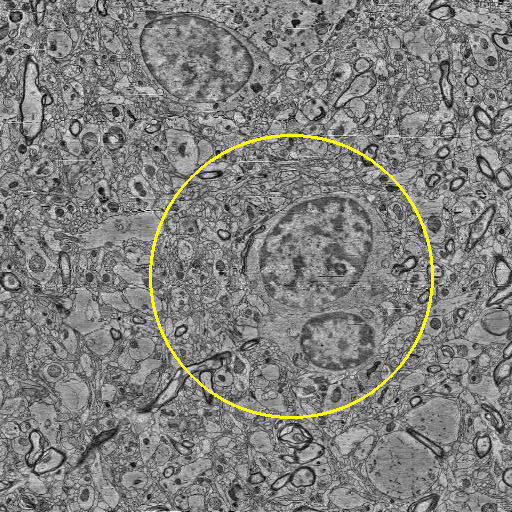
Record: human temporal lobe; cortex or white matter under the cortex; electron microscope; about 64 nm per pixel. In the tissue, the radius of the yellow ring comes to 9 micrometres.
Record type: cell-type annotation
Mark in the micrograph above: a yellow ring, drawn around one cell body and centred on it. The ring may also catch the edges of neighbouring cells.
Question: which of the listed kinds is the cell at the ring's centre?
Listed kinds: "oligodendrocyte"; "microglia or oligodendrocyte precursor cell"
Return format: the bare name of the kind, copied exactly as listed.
oligodendrocyte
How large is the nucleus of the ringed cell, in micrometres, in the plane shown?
The nucleus is approximately 8 micrometers long by 7 micrometers wide in this plane.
